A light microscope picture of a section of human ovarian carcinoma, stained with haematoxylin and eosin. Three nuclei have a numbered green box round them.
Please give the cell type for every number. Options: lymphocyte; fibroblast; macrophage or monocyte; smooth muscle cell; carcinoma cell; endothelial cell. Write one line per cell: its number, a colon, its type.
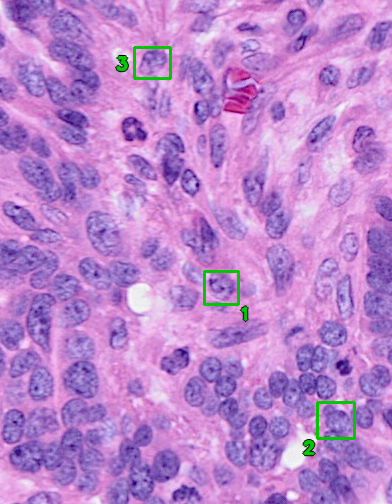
1: fibroblast
2: carcinoma cell
3: fibroblast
